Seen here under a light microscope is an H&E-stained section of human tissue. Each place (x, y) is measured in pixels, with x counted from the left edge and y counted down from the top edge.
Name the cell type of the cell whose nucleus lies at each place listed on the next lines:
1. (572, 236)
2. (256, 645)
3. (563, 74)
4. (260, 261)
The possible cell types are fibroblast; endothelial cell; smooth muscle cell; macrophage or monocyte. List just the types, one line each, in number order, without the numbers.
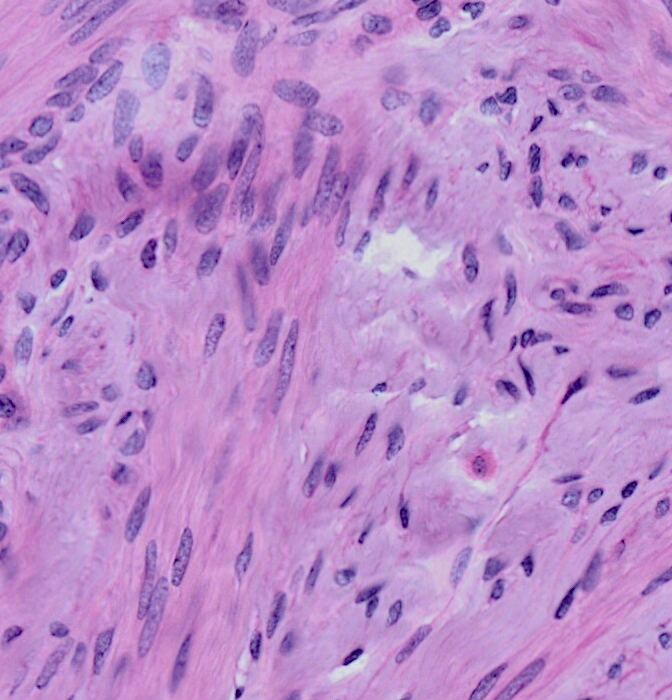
fibroblast
fibroblast
smooth muscle cell
fibroblast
